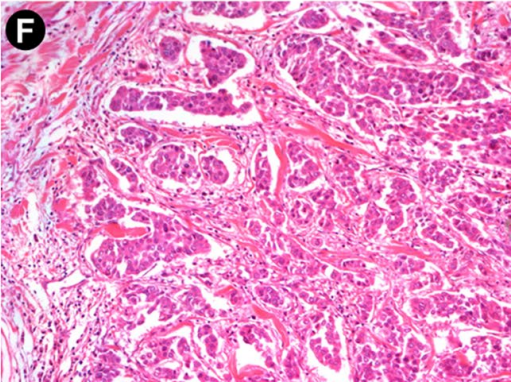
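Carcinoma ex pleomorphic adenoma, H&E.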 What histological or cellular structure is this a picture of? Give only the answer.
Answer: cords, nests, and mild cribriform structures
